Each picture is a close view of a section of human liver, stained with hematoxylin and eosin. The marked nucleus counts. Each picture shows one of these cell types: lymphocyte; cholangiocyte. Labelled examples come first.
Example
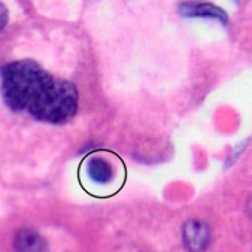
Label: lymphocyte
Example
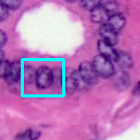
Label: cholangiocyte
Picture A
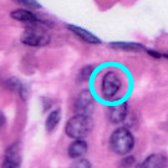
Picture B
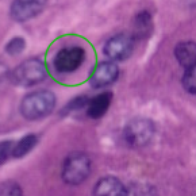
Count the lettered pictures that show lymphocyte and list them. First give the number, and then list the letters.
0, none of them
